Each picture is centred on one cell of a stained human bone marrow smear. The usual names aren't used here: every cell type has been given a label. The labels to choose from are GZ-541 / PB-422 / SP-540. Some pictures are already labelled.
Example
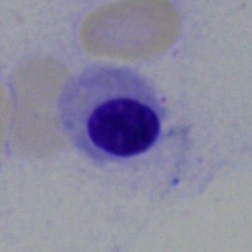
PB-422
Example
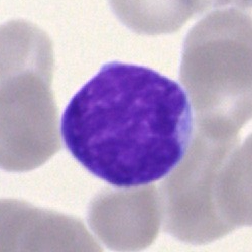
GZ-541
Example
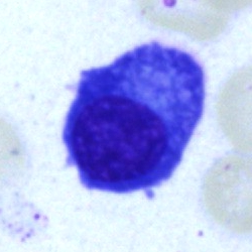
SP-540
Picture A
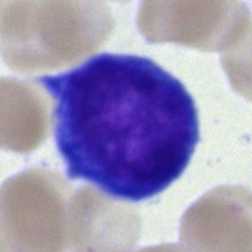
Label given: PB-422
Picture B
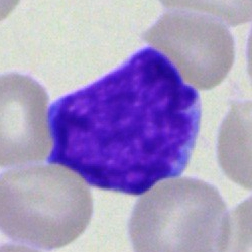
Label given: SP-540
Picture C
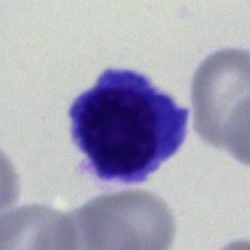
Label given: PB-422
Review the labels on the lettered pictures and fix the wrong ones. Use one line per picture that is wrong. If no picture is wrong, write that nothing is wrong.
A: change PB-422 to GZ-541
B: change SP-540 to GZ-541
